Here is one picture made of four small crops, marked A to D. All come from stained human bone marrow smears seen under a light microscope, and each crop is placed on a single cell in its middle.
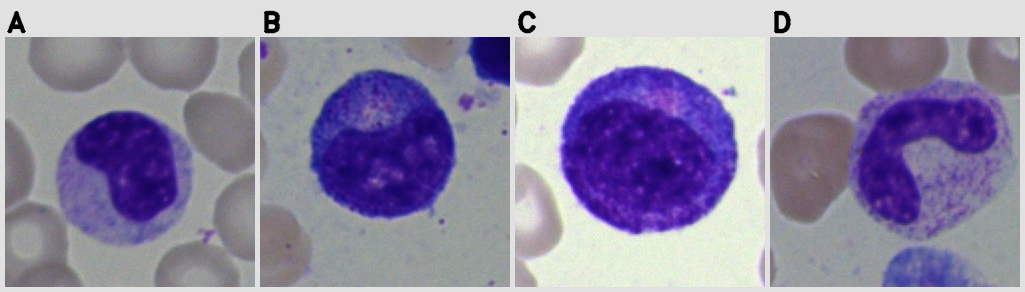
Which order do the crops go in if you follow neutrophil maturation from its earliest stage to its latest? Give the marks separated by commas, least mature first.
C, B, A, D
